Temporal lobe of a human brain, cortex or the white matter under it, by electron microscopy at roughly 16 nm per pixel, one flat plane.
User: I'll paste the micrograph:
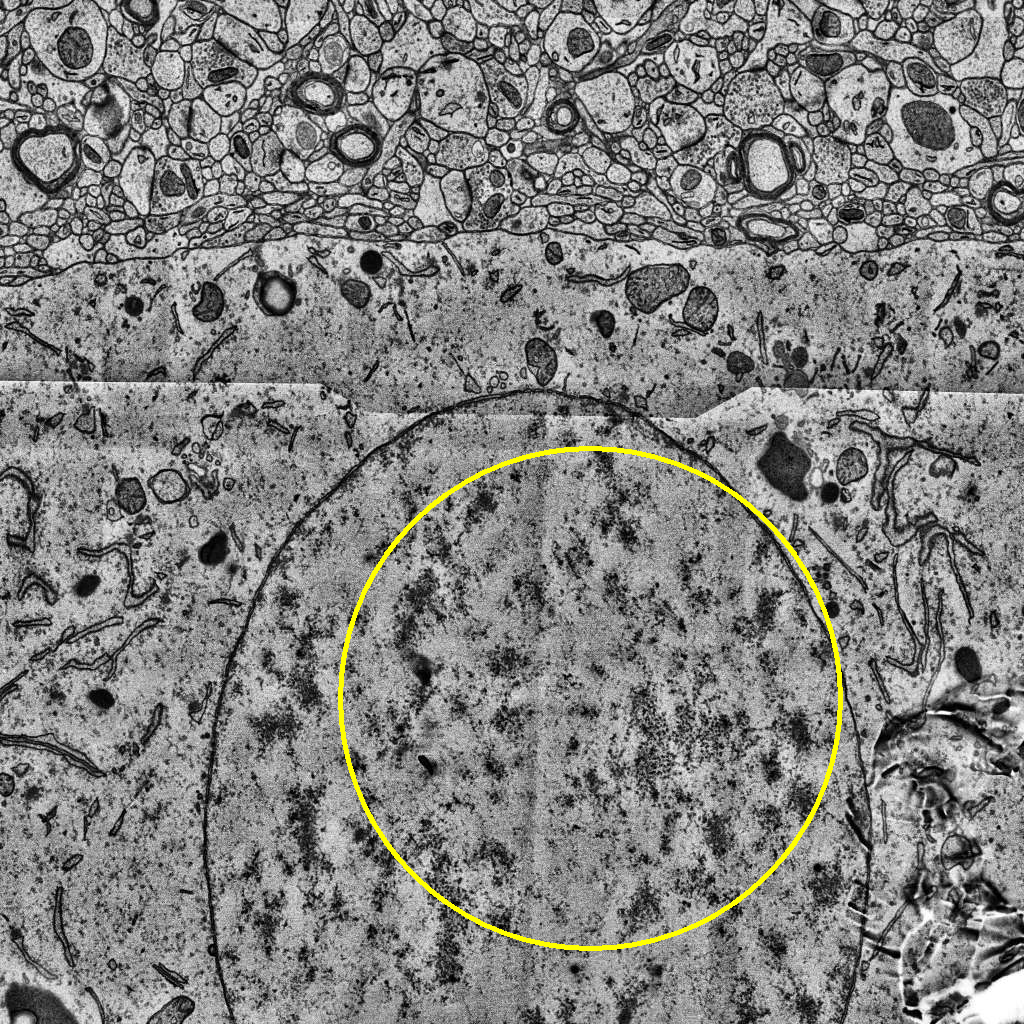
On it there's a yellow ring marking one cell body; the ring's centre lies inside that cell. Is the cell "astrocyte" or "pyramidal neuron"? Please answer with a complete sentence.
The cell at the centre of the yellow ring is a pyramidal neuron.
